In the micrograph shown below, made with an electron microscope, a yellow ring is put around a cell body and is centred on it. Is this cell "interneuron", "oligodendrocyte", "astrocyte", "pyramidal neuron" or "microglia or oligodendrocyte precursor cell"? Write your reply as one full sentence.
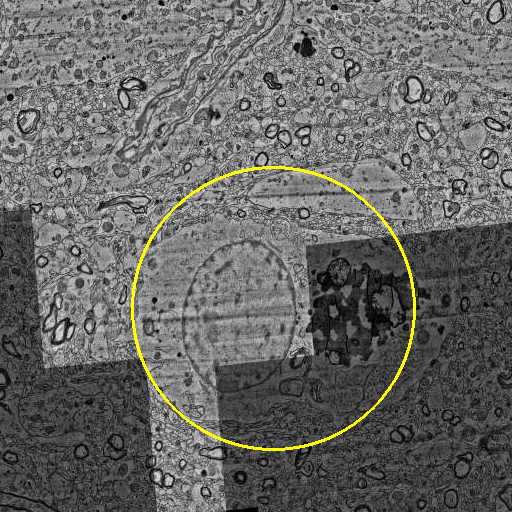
In the micrograph, an astrocyte is the cell at the centre of the yellow ring.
